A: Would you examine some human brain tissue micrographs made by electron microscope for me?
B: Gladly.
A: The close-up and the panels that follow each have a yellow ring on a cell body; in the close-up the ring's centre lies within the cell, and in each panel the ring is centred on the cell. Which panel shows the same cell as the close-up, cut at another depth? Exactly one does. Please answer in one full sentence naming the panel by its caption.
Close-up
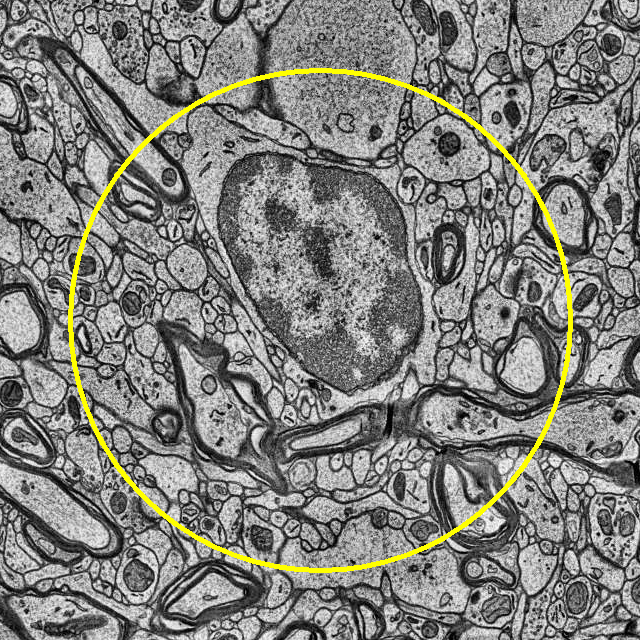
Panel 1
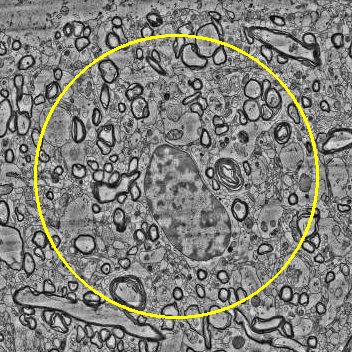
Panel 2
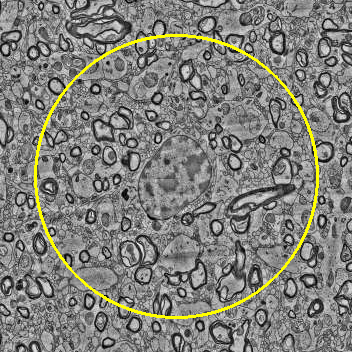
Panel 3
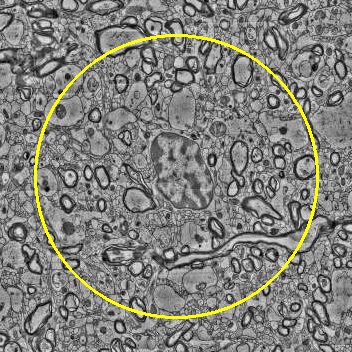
Enlarged in the close-up is the cell circled in Panel 3.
